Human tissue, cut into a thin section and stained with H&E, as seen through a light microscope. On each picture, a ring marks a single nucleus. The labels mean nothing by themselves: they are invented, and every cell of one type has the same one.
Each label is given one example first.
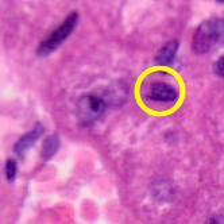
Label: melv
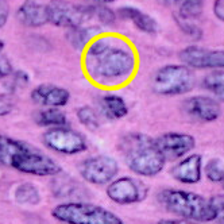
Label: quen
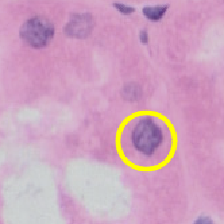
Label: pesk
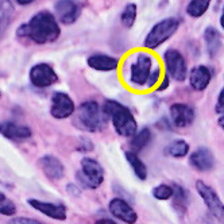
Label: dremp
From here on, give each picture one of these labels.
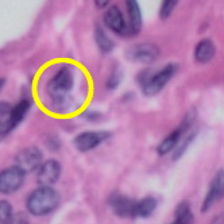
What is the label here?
melv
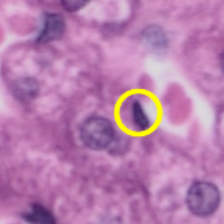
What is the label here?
melv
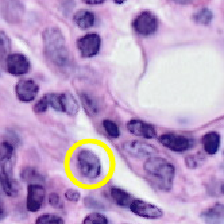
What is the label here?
dremp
